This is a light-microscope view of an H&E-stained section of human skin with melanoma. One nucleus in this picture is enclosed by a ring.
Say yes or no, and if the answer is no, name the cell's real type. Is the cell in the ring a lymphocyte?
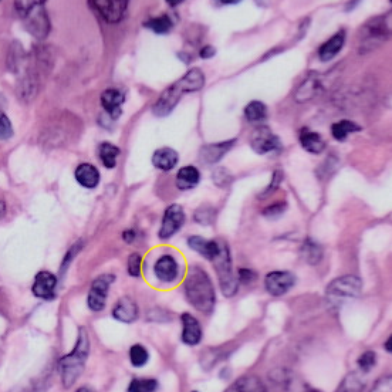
Yes.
